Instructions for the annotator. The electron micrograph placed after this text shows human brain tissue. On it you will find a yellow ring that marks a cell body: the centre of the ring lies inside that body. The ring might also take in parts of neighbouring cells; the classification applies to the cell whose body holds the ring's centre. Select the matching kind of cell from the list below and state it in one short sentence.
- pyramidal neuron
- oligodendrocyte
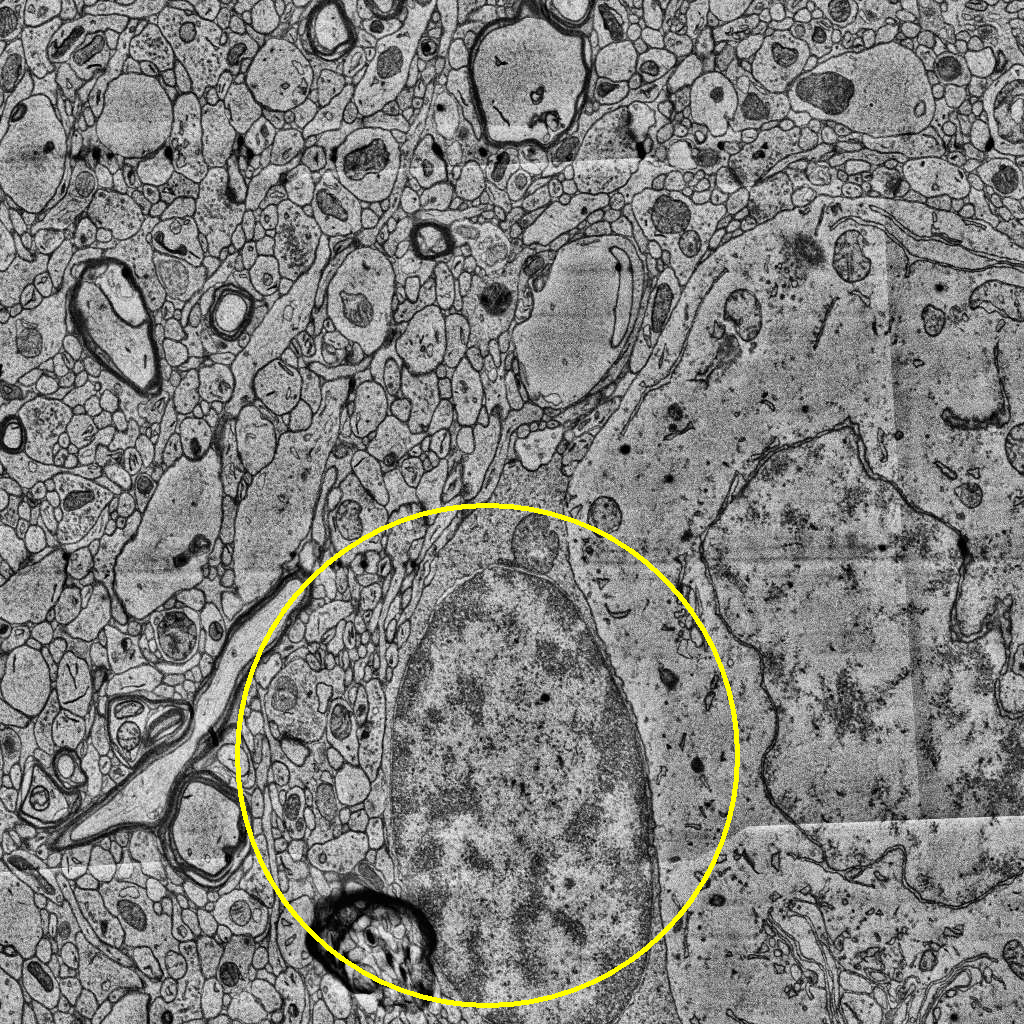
The centre of the ring lies in the cell body of an oligodendrocyte.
